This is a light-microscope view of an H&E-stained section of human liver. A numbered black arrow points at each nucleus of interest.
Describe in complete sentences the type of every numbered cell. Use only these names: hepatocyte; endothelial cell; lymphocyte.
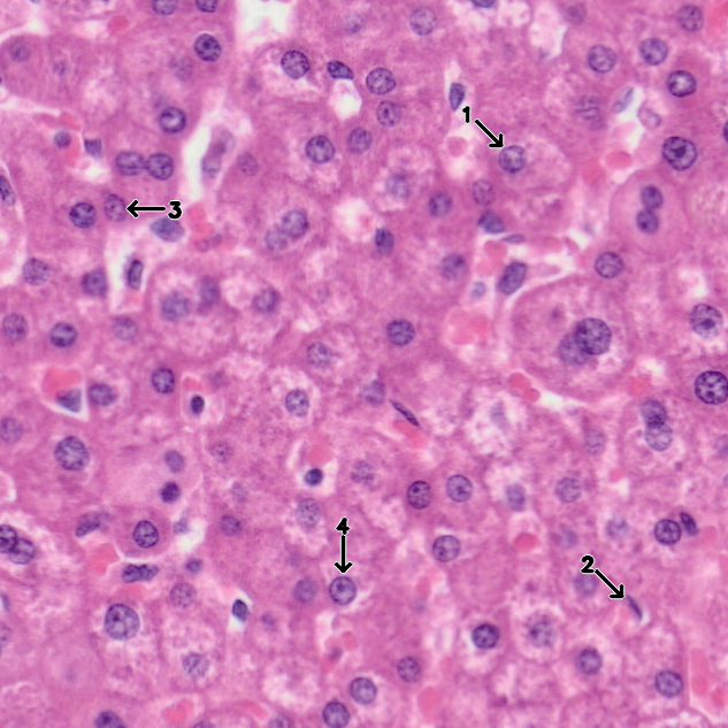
Cell 1 is a hepatocyte, cell 2 is an endothelial cell, cell 3 is a hepatocyte and cell 4 is a hepatocyte.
